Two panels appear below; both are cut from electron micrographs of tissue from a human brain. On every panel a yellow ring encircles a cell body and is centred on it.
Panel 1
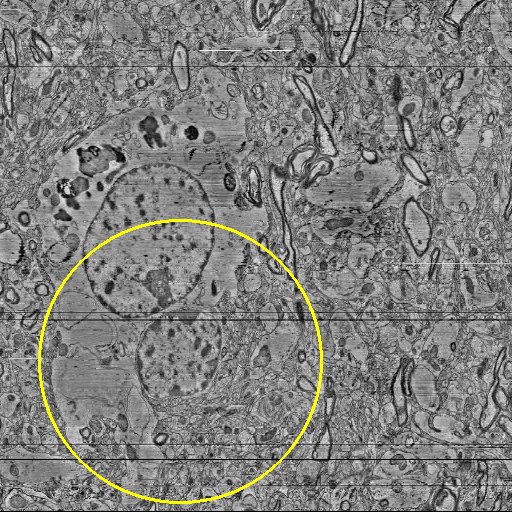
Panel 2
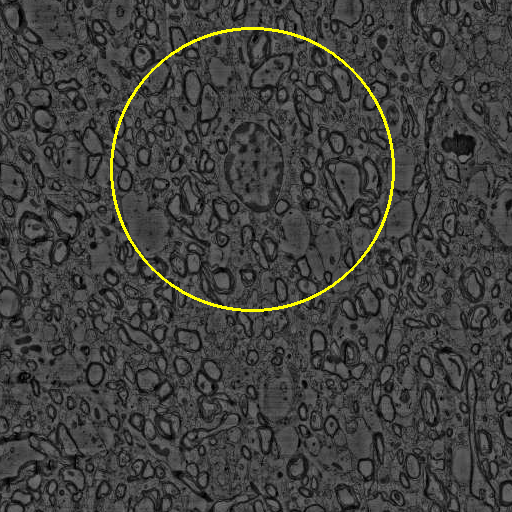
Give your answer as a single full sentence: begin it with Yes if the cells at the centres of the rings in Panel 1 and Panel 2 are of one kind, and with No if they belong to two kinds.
Yes, the cells in the middle of the rings in Panels 1 and 2 are of one kind.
